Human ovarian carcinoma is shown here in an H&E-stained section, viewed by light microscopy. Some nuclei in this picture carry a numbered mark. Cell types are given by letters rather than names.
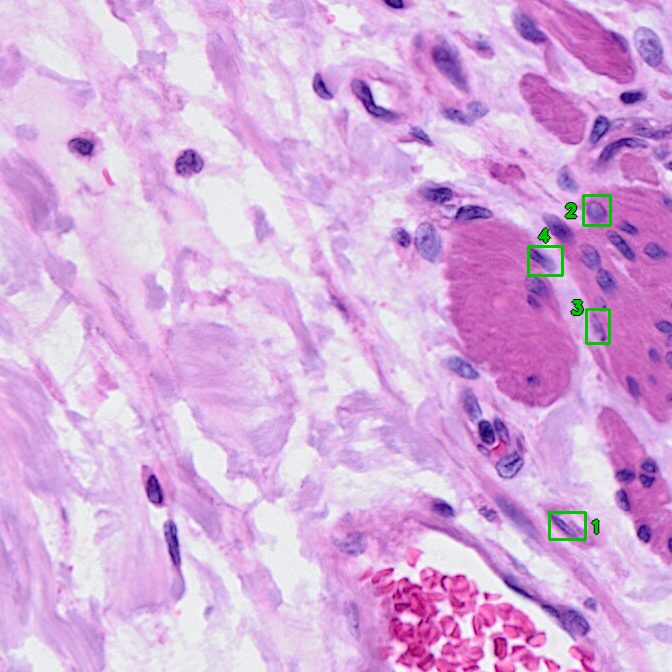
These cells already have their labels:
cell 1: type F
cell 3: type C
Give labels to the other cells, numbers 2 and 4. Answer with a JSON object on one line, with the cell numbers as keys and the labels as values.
{"2": "type C", "4": "type C"}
